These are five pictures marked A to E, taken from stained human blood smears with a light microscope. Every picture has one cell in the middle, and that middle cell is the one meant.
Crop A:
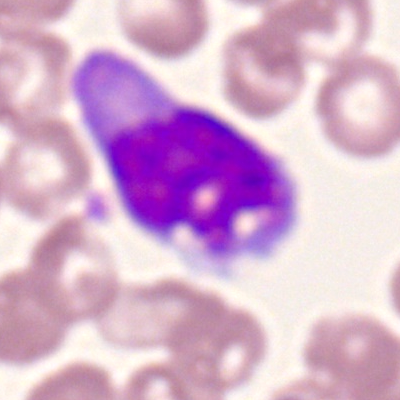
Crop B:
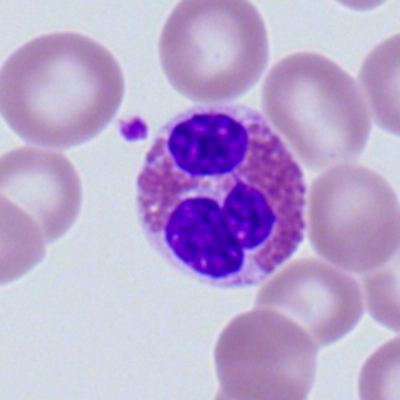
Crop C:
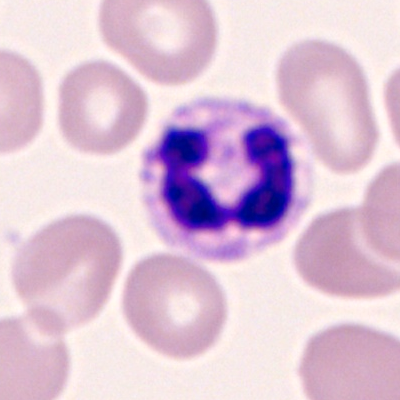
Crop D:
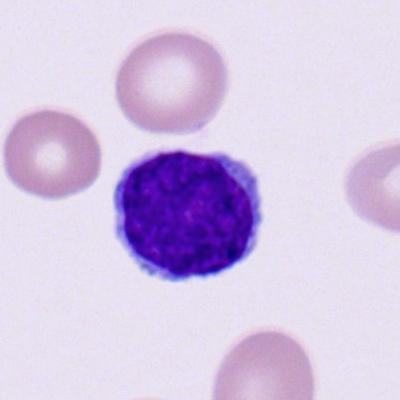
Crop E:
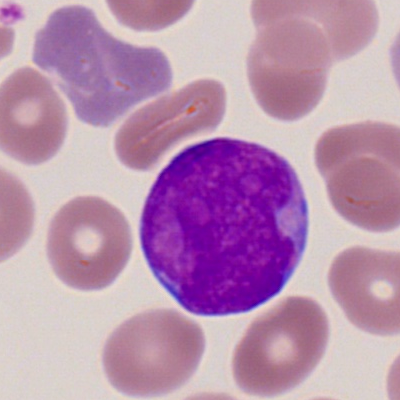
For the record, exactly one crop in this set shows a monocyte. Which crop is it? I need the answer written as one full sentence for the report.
Crop A is the one to choose: it shows a monocyte.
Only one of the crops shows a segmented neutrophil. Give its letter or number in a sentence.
The one that shows a segmented neutrophil is crop C.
